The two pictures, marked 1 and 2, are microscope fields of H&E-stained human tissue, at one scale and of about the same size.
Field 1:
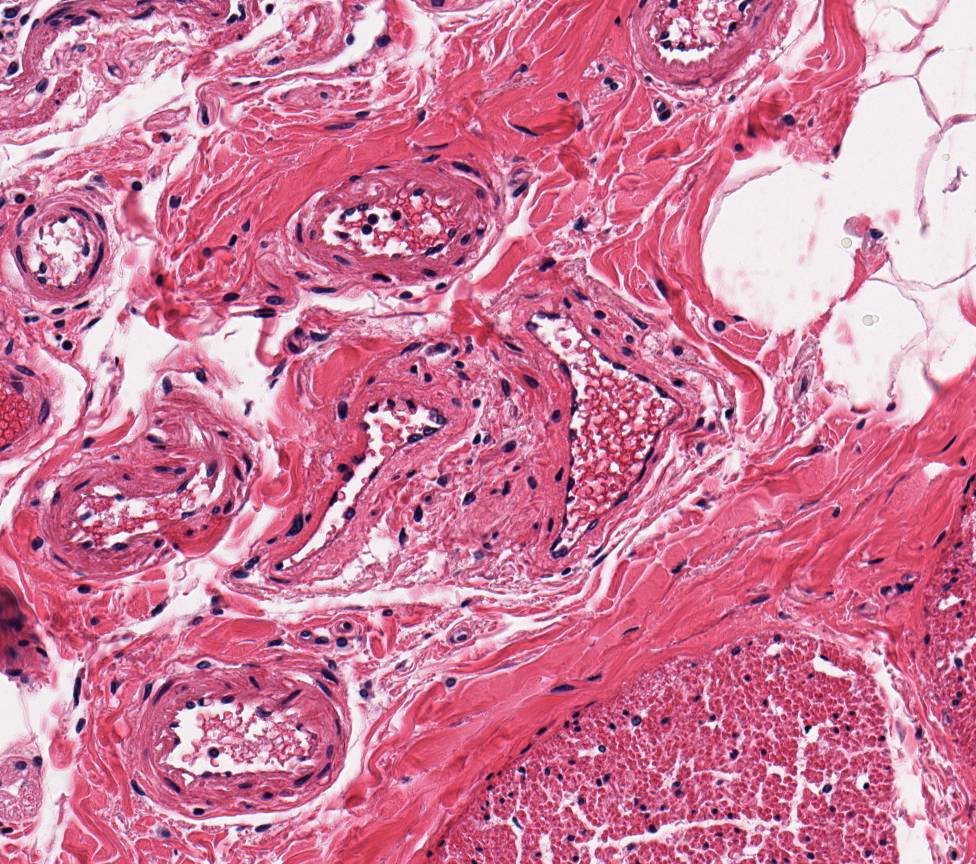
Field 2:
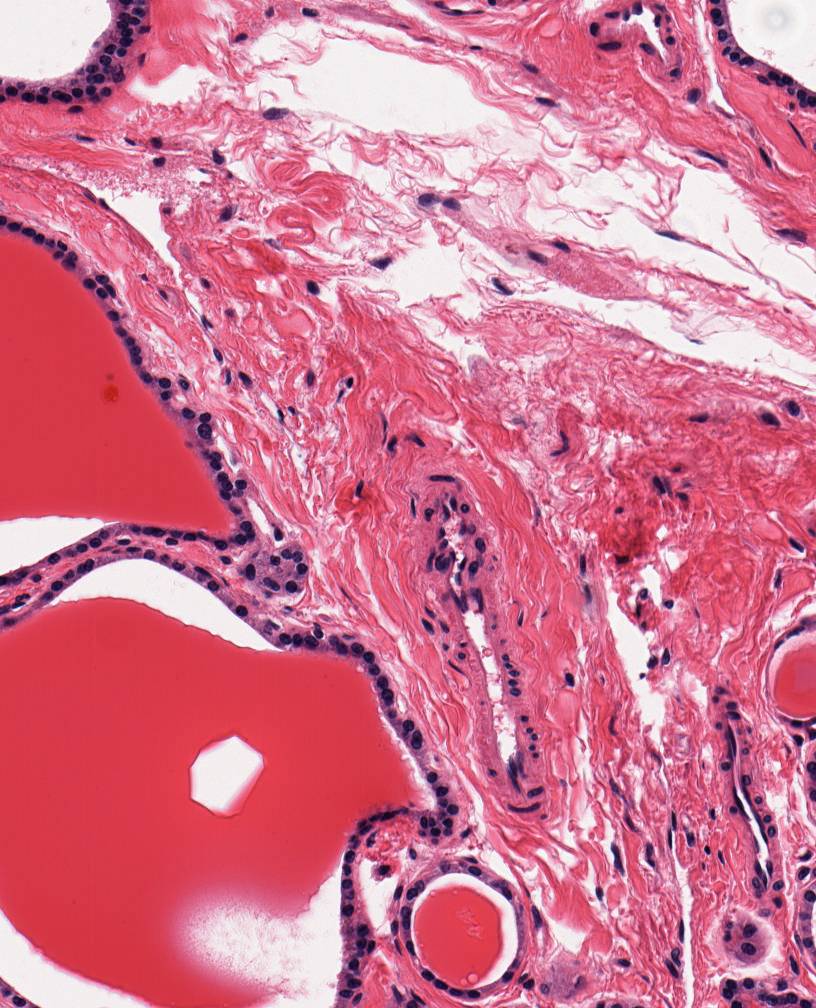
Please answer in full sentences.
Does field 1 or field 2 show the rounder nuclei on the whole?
Rounder nuclei lie in field 1.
